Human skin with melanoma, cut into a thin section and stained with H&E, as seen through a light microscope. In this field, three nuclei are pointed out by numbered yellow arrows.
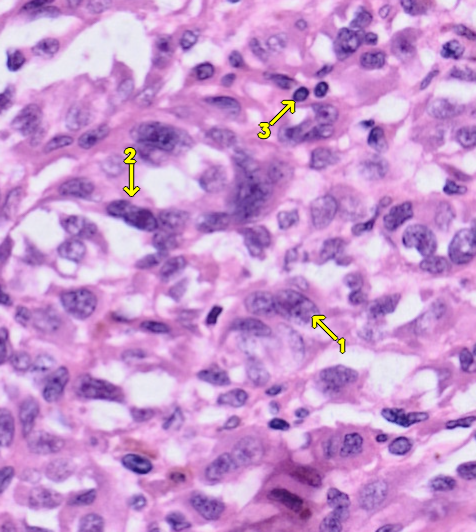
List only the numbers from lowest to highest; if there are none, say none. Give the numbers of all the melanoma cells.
1, 2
